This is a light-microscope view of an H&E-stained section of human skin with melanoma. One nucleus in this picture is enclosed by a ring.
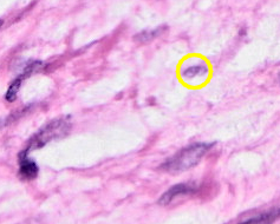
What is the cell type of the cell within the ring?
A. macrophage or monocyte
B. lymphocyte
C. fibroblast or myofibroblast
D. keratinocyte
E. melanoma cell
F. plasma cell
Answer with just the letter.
C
